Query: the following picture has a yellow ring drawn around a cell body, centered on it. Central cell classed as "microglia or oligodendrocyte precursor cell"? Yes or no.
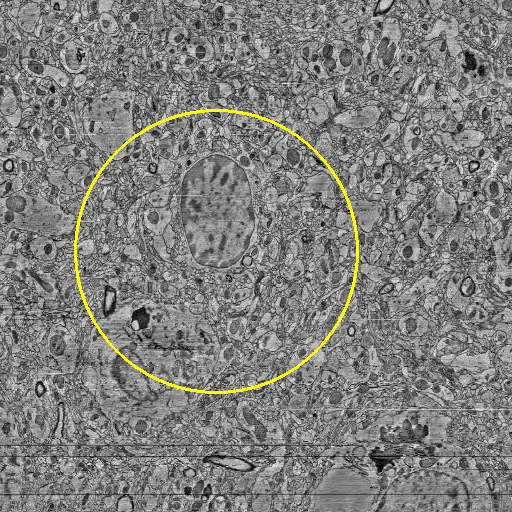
yes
